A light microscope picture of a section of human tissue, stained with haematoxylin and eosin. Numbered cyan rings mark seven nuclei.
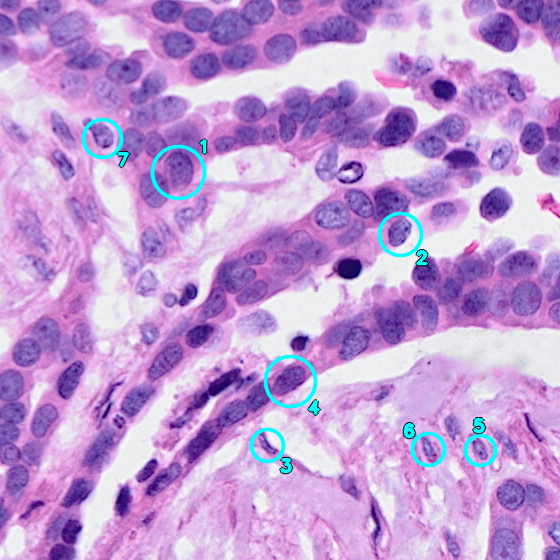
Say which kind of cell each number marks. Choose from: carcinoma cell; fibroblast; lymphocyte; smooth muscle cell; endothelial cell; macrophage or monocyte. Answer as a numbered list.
1. carcinoma cell
2. macrophage or monocyte
3. fibroblast
4. carcinoma cell
5. fibroblast
6. fibroblast
7. macrophage or monocyte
